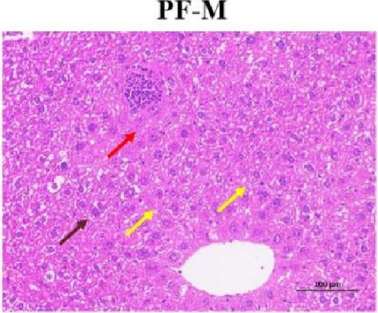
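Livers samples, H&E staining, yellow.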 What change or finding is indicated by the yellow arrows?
Cytoplasmic microvesicle formation.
